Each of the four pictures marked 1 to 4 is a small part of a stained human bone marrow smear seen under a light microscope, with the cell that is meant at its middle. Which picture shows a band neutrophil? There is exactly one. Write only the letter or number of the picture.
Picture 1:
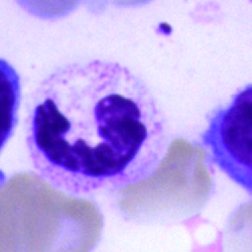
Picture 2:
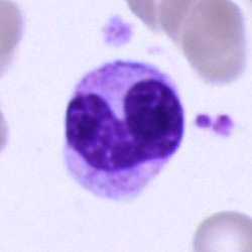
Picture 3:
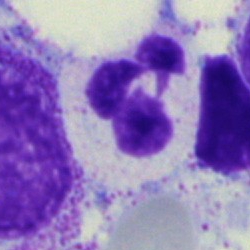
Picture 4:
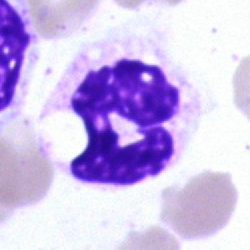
2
